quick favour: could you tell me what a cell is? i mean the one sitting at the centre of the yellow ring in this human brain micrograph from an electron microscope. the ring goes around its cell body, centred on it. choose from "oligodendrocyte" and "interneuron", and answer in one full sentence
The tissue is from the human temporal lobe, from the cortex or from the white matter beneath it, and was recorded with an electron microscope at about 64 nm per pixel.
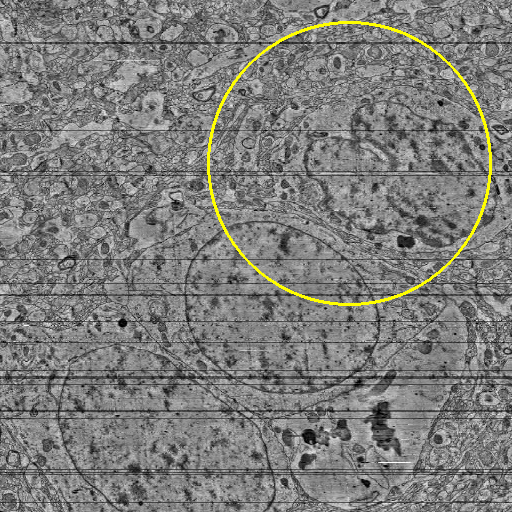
That's an interneuron, the cell sitting at the centre of the yellow ring.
